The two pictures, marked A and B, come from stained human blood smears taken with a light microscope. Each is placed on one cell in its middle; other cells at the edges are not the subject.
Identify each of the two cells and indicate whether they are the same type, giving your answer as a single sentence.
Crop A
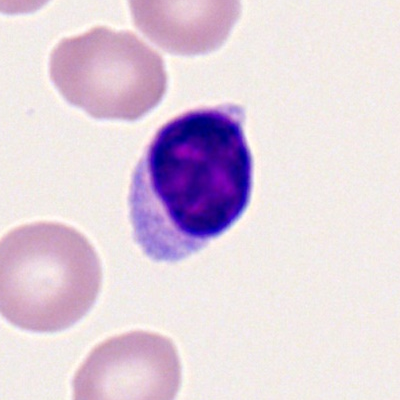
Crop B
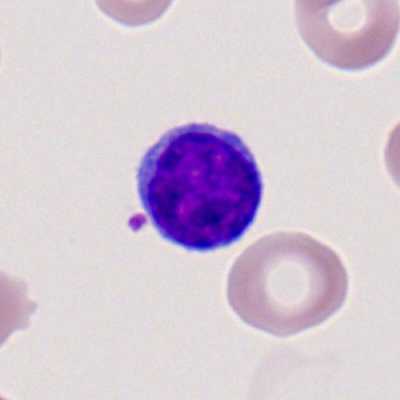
Yes, the cells of interest in both crops are lymphocytes.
